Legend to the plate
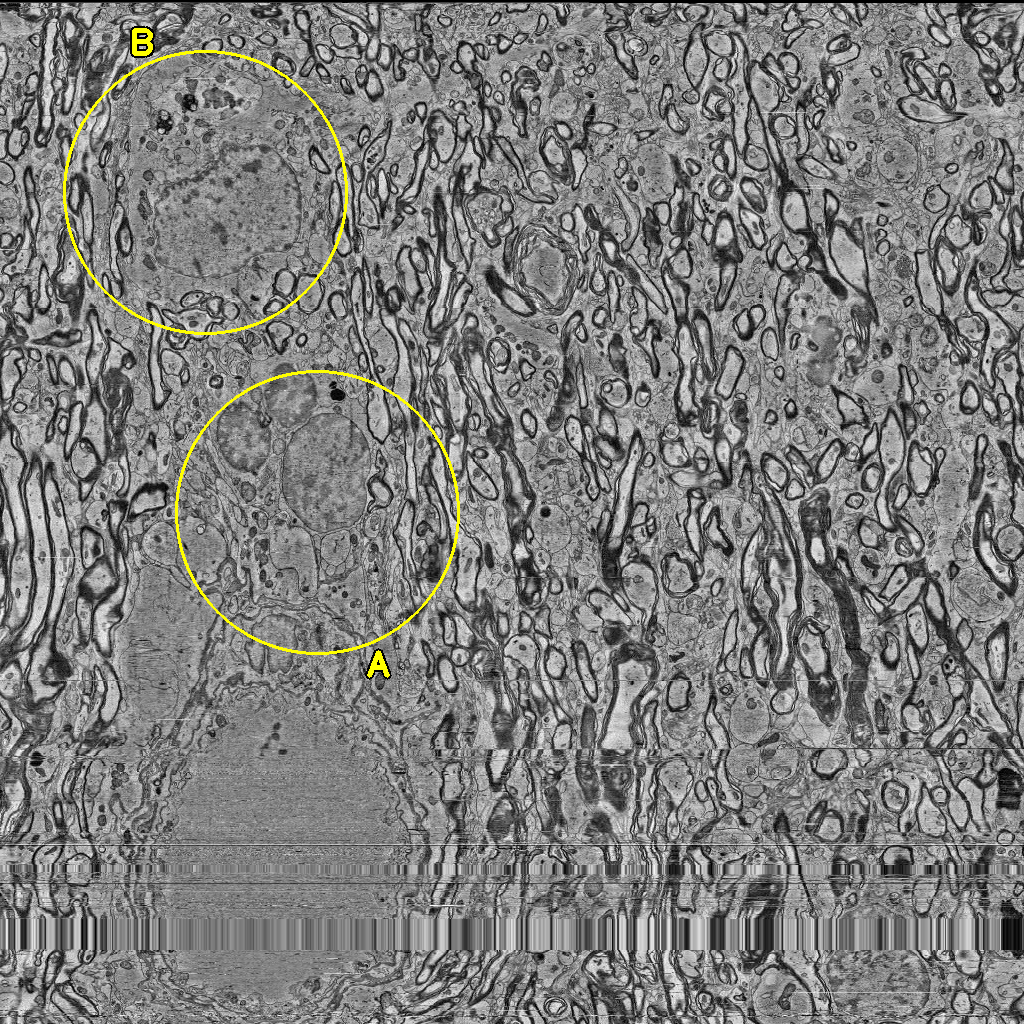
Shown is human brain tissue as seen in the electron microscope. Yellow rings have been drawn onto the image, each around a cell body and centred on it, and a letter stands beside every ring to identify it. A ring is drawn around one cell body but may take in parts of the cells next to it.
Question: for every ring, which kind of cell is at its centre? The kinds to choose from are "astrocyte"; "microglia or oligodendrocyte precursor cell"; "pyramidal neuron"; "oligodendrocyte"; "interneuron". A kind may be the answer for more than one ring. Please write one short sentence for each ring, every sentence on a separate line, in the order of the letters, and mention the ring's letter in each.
The kind of cell at the centre of ring A is an oligodendrocyte.
The kind of cell at the centre of ring B is an astrocyte.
